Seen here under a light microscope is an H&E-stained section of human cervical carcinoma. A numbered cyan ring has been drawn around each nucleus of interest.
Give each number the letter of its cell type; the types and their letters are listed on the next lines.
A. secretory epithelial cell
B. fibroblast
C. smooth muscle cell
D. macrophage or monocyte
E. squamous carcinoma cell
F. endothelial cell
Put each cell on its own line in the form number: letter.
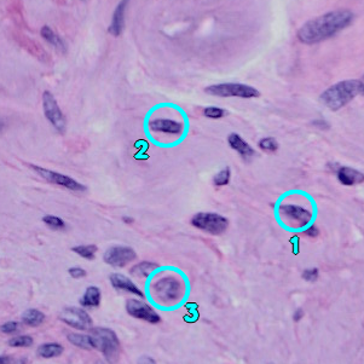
1: B
2: B
3: F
